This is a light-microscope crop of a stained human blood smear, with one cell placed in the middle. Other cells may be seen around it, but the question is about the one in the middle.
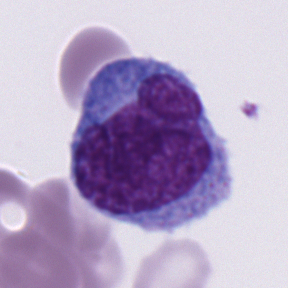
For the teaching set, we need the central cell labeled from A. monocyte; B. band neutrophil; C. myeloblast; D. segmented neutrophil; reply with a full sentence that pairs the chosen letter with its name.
Located in the middle of the crop is a monocyte, and option A is therefore correct.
